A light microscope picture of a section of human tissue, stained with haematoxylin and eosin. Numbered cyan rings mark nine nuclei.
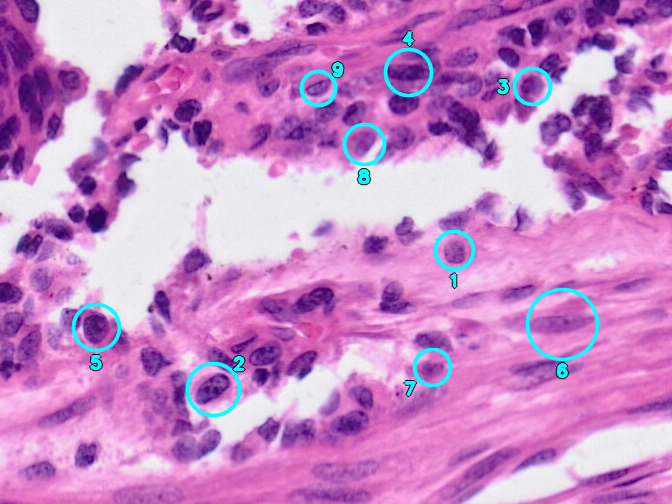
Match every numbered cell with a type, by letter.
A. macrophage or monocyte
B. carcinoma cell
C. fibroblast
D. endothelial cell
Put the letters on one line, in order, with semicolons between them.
A; A; B; B; B; C; C; B; A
